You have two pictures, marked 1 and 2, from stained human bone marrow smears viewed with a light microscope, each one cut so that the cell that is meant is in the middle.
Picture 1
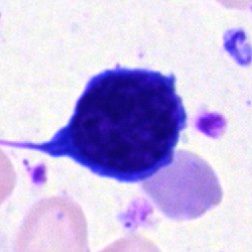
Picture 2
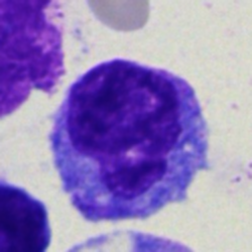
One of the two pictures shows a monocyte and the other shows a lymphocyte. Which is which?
1: lymphocyte
2: monocyte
